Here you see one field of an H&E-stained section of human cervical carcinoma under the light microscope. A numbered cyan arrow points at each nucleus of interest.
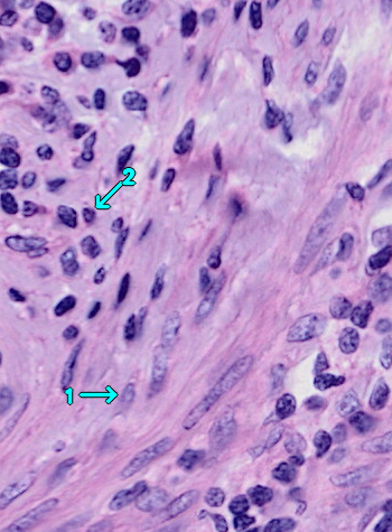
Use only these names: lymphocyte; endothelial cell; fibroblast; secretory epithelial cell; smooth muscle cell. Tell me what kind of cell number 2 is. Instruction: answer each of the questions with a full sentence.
Cell 2, as marked in the section, is a fibroblast.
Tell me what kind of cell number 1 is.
Number 1 among the marked cells is a smooth muscle cell.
